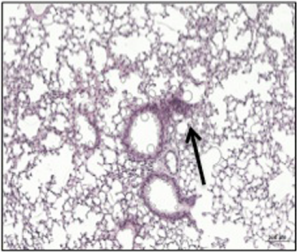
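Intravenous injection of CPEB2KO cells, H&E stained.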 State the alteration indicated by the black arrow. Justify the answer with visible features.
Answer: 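The arrow points to a dense, darker purple cluster of cells beside a round airway. The surrounding tissue is thin-walled open airspaces.
Conclusion: small tumor-like lesion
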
